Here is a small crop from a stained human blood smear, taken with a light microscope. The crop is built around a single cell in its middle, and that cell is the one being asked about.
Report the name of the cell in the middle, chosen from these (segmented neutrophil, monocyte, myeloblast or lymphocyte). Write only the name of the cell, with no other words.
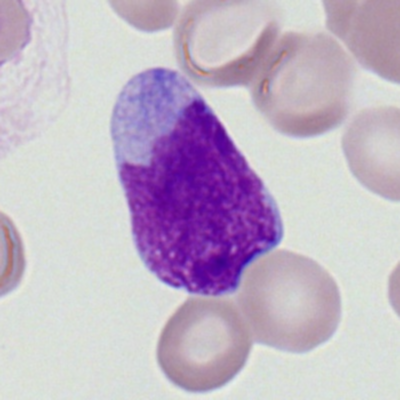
myeloblast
